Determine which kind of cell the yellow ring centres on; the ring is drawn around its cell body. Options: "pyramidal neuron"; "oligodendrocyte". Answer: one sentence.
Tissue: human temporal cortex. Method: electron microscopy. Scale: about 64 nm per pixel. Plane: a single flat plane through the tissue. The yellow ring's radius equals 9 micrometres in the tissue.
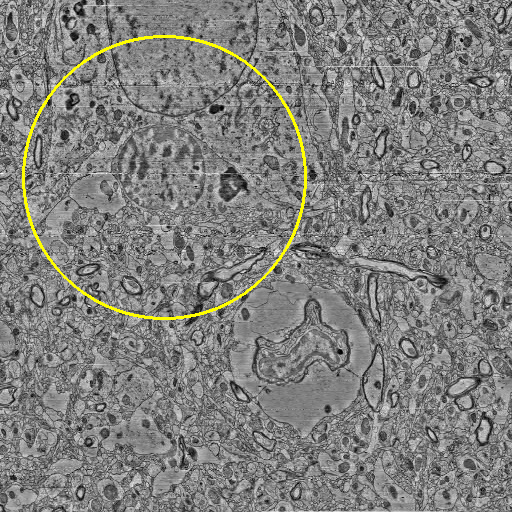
The ring centres on an oligodendrocyte.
